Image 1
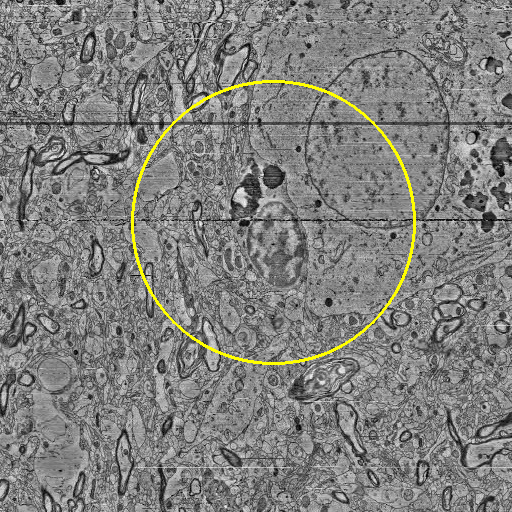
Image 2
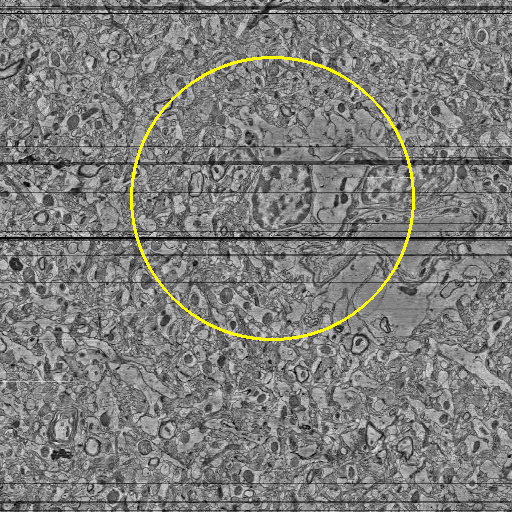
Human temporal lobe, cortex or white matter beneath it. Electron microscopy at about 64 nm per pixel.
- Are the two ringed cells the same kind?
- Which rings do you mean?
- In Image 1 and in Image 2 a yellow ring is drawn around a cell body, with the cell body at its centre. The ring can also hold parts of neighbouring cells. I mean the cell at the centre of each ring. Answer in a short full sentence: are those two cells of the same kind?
No, the cells are of two kinds.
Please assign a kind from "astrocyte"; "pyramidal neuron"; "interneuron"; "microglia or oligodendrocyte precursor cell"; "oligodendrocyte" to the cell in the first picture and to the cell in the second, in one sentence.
In the first picture we have an oligodendrocyte, and in the second, a microglial cell or oligodendrocyte precursor cell.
